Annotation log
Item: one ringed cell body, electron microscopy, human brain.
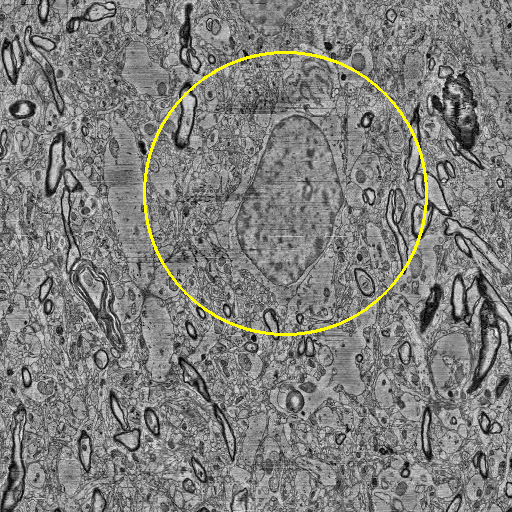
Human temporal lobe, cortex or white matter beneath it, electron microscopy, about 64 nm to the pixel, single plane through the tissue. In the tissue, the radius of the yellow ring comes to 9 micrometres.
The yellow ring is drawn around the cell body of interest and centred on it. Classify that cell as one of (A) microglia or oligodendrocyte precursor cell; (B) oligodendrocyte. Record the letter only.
A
